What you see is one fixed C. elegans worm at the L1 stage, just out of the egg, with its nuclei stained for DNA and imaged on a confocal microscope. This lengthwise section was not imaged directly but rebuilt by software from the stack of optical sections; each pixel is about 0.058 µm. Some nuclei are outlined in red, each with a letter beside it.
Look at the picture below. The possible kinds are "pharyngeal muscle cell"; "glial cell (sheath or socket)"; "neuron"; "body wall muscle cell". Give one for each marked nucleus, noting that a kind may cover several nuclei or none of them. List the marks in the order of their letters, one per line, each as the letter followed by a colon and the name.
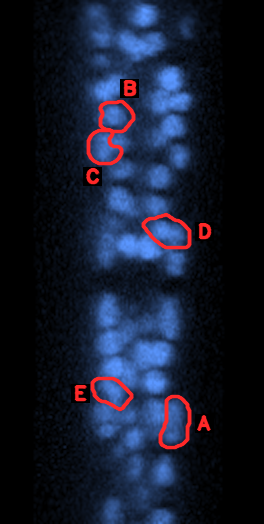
A: body wall muscle cell
B: neuron
C: neuron
D: neuron
E: glial cell (sheath or socket)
